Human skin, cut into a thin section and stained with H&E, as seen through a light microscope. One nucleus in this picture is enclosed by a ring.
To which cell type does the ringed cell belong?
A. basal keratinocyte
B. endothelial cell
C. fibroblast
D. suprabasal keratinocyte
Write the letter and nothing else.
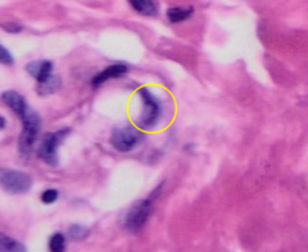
B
